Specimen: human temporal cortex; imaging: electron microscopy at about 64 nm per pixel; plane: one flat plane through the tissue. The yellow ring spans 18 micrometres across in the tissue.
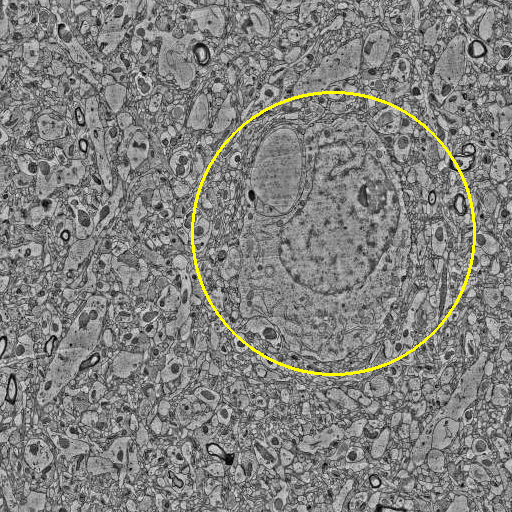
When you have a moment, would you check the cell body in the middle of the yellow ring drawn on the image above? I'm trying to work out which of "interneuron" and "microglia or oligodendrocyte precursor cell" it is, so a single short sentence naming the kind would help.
This cell body belongs to an interneuron.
